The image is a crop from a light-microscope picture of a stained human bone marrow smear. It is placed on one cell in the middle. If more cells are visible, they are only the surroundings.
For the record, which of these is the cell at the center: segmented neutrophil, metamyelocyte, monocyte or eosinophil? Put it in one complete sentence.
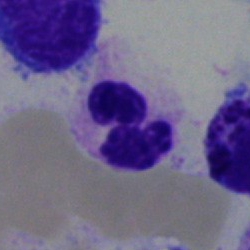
Whatever else lies nearby, the middle cell is a segmented neutrophil.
